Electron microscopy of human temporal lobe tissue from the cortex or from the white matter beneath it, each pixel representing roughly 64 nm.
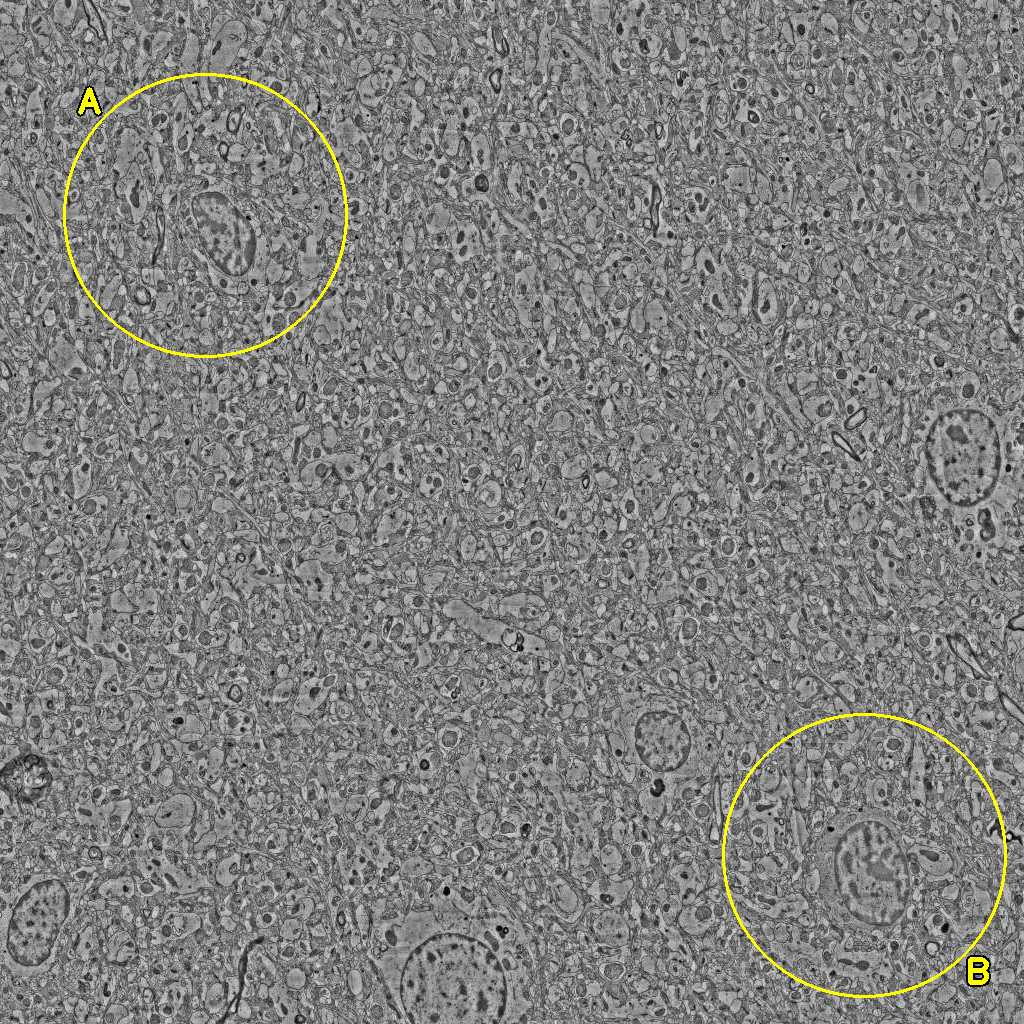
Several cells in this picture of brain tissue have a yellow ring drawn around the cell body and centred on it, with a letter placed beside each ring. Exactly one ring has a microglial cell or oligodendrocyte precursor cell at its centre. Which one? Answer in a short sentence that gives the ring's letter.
Ring A is centred on it.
